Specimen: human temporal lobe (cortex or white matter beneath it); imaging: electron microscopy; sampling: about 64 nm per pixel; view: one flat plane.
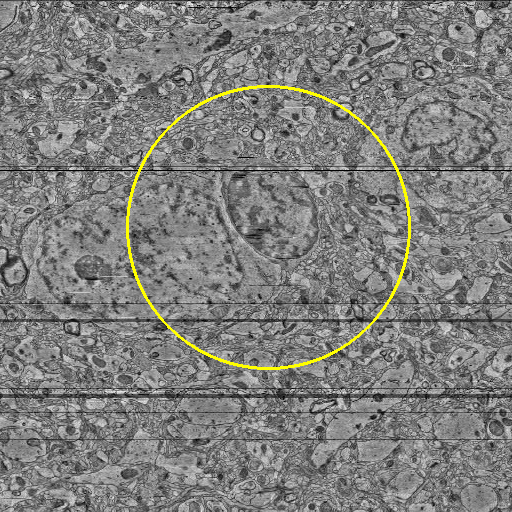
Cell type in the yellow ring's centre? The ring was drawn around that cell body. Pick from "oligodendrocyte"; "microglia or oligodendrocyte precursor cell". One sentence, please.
The ringed cell body is that of an oligodendrocyte.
